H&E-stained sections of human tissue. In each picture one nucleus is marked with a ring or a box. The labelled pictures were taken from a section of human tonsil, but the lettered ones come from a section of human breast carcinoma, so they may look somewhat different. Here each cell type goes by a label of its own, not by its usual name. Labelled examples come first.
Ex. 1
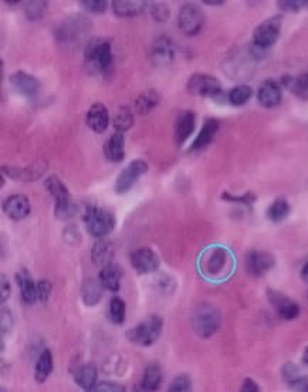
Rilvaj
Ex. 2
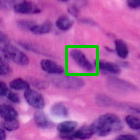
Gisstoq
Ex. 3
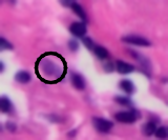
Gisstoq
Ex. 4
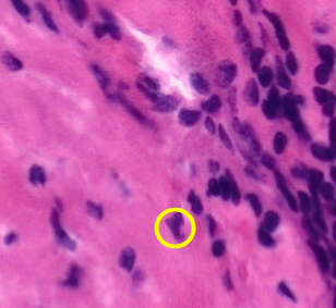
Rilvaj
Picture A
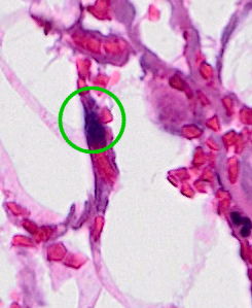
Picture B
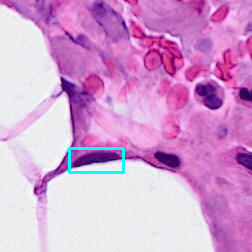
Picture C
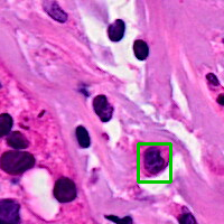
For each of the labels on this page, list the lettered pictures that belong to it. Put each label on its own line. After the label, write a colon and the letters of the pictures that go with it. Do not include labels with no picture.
Rilvaj: C
Gisstoq: A, B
